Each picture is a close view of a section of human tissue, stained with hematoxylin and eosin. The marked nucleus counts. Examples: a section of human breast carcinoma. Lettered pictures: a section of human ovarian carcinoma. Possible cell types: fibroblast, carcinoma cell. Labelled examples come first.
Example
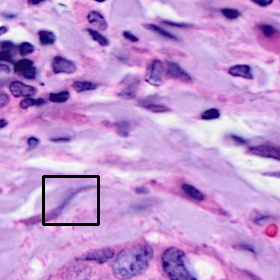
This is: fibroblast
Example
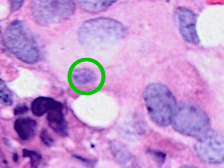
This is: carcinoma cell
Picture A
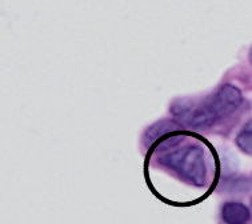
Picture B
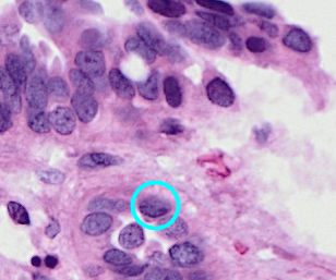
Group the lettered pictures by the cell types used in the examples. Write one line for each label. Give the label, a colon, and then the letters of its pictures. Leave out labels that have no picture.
carcinoma cell: A, B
